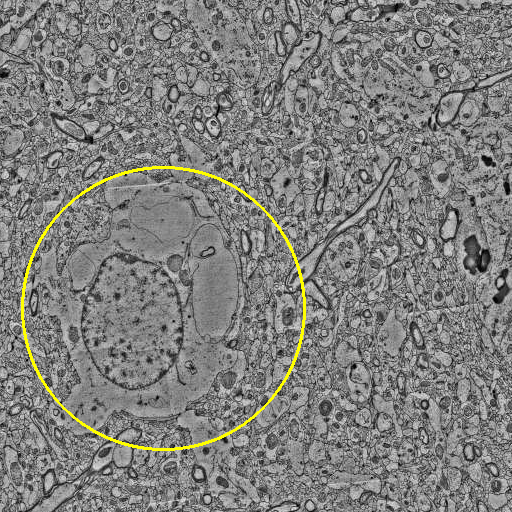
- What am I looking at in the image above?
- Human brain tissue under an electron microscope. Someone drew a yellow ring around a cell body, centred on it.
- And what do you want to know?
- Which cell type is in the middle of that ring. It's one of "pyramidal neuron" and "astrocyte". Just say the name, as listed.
astrocyte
